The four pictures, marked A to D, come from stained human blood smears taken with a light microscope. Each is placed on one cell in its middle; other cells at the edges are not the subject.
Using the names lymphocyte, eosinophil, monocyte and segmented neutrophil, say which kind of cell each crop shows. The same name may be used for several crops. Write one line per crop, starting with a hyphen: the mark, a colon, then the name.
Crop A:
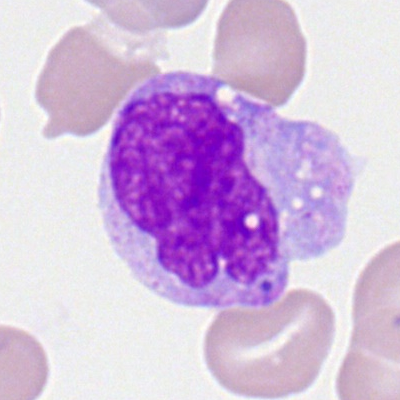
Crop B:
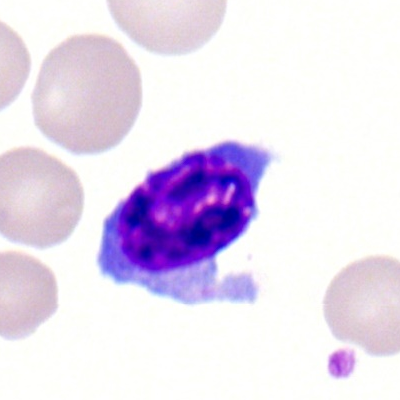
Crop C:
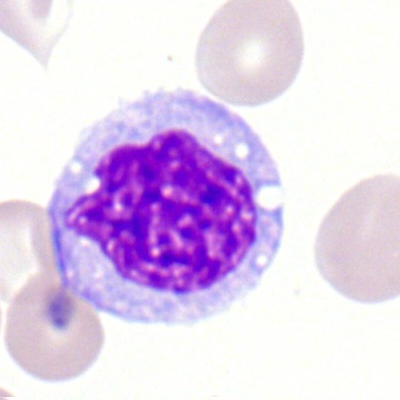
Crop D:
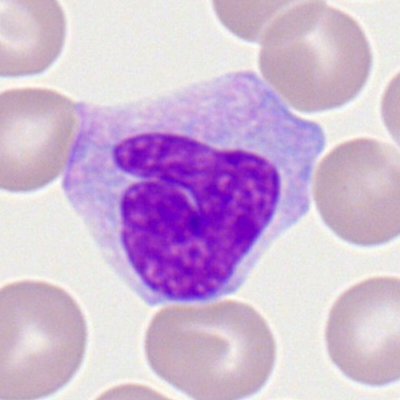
- A: monocyte
- B: lymphocyte
- C: monocyte
- D: monocyte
